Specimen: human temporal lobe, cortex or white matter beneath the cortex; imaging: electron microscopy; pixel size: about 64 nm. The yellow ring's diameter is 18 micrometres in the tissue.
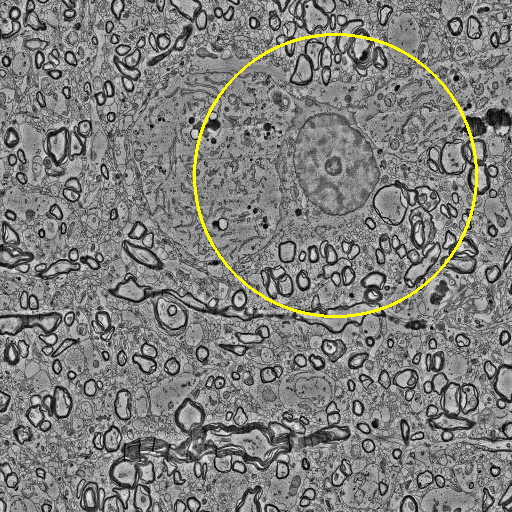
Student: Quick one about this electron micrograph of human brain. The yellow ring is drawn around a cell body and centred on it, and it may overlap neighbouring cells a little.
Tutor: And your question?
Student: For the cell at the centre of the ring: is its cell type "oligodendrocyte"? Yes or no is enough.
yes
